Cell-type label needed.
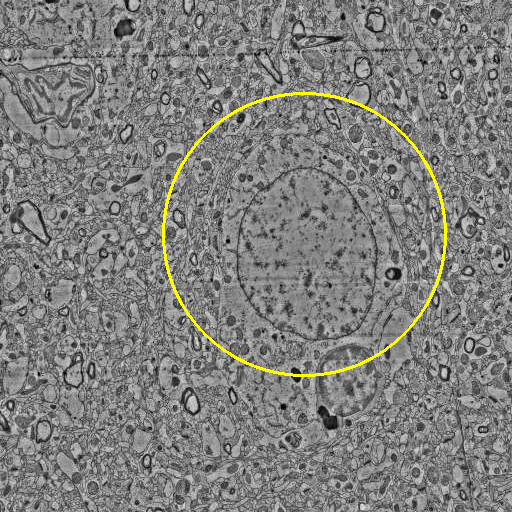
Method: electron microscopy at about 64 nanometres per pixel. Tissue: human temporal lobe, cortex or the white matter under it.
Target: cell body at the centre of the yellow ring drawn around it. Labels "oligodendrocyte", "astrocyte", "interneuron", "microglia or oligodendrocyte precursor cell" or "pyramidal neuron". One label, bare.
pyramidal neuron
